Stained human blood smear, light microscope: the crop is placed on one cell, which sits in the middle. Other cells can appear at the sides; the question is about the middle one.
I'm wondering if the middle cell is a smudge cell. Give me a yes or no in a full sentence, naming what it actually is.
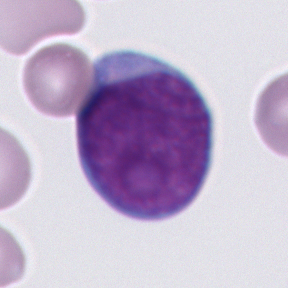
No, the centrally placed cell is a myeloblast, not a smudge cell.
